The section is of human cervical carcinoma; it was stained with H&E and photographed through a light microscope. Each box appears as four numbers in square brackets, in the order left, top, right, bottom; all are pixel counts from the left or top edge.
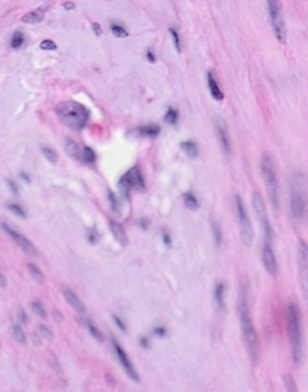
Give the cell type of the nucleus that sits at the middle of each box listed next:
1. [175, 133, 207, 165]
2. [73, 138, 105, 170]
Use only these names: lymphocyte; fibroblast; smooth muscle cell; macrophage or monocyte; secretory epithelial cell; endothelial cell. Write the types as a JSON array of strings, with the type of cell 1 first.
["fibroblast", "endothelial cell"]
